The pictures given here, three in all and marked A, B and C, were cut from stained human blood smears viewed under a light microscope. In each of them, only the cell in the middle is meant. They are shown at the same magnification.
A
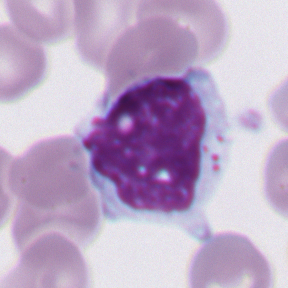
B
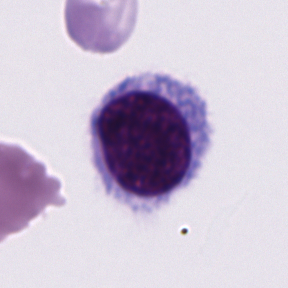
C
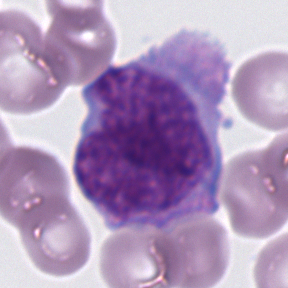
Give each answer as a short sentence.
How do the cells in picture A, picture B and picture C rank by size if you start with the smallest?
Going up, they run B, A, C.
